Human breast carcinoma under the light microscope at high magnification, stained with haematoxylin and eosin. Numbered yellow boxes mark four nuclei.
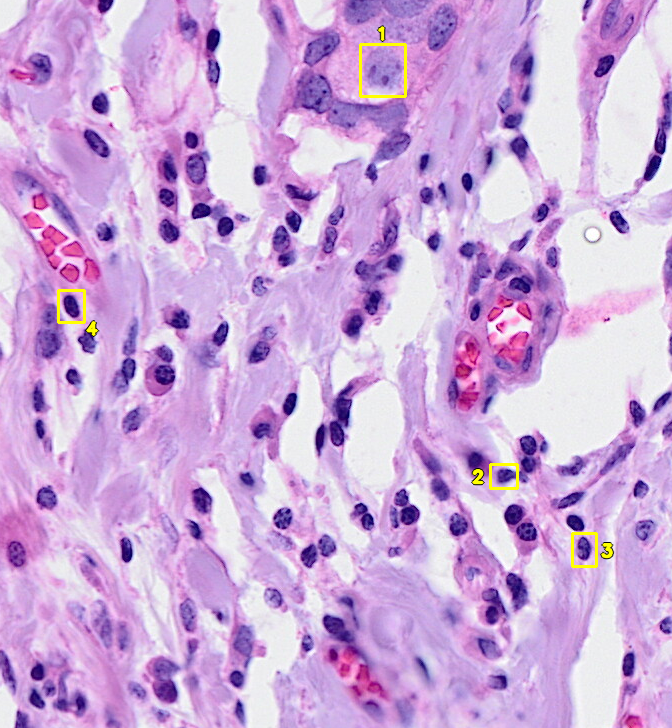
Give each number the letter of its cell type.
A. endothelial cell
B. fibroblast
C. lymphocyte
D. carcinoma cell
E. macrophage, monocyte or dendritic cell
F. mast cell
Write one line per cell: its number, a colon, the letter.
1: D
2: C
3: C
4: C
